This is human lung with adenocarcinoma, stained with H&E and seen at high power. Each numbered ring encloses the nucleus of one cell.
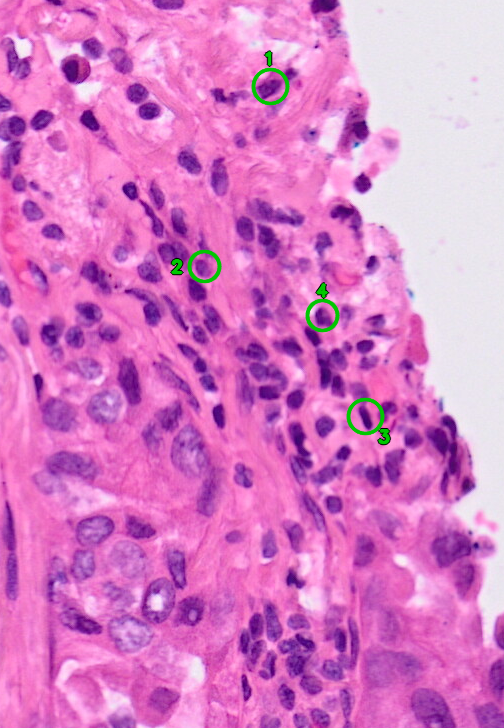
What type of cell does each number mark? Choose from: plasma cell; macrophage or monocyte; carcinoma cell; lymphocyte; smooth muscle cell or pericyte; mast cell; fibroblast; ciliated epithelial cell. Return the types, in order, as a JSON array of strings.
["plasma cell", "lymphocyte", "lymphocyte", "lymphocyte"]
